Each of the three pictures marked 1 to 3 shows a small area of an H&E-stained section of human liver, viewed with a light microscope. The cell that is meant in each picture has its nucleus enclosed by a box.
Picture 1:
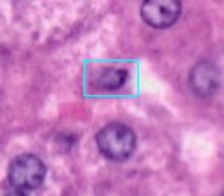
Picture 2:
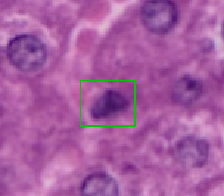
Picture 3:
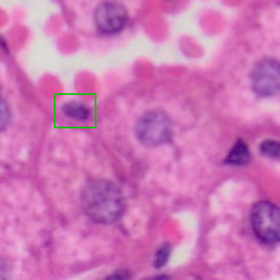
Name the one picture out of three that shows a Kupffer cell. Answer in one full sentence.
Picture 1 shows the Kupffer cell.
